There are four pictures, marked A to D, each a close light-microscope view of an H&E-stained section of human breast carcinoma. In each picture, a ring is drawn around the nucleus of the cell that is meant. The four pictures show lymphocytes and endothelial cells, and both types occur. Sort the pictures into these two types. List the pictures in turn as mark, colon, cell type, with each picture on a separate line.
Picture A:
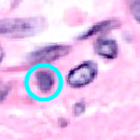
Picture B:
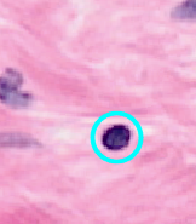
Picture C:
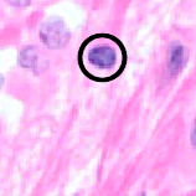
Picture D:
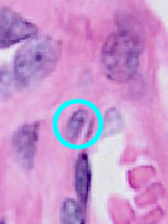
A: endothelial cell
B: lymphocyte
C: lymphocyte
D: endothelial cell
